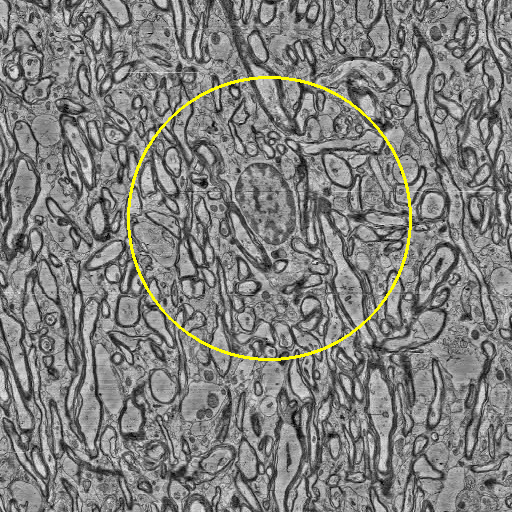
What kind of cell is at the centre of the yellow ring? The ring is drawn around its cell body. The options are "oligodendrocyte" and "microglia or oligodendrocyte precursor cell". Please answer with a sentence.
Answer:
The yellow ring marks the cell body of a microglial cell or oligodendrocyte precursor cell.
